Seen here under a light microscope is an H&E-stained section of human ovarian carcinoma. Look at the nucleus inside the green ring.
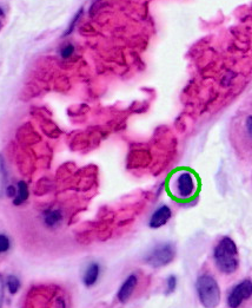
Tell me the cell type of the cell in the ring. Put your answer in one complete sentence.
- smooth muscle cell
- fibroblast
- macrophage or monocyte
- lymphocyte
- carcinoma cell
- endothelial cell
Assigned to a cell type, the cell in the ring is a lymphocyte.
